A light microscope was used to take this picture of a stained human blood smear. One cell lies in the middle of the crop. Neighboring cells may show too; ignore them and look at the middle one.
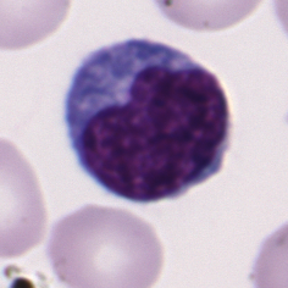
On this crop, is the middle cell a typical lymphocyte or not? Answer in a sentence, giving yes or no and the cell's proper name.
Yes, the cell found at the centre of the crop is a typical lymphocyte.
